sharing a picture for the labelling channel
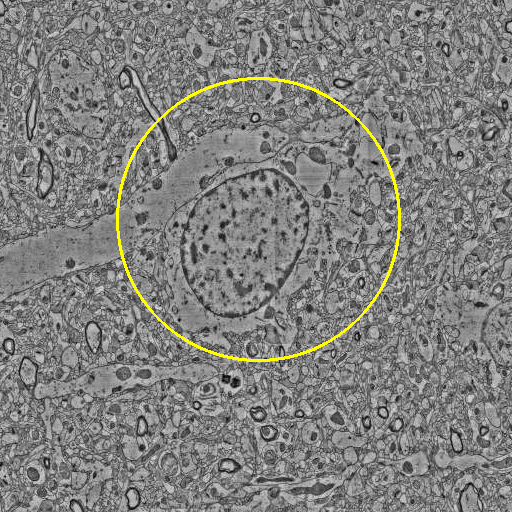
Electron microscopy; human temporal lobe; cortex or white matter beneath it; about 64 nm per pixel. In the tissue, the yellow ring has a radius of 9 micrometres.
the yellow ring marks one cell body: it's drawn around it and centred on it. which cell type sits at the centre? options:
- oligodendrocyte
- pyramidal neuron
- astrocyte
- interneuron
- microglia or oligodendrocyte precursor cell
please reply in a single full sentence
In the picture, the cell at the ring's centre is an astrocyte, going by the list.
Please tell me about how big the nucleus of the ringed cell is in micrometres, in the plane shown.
Roughly 10 by 7 micrometres is the size of the nucleus in this plane.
